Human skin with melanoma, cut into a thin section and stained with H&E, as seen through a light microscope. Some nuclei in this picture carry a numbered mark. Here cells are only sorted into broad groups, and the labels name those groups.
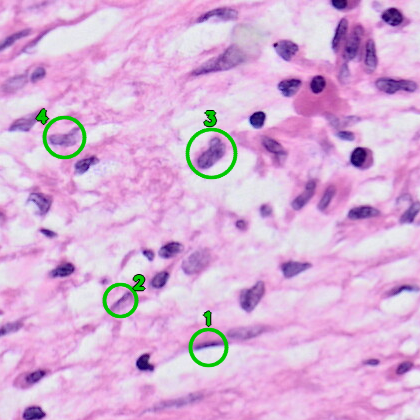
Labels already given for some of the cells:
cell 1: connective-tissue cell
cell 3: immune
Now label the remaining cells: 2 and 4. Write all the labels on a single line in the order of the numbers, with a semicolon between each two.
connective-tissue cell; connective-tissue cell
